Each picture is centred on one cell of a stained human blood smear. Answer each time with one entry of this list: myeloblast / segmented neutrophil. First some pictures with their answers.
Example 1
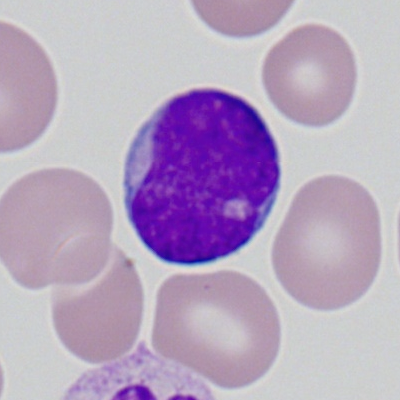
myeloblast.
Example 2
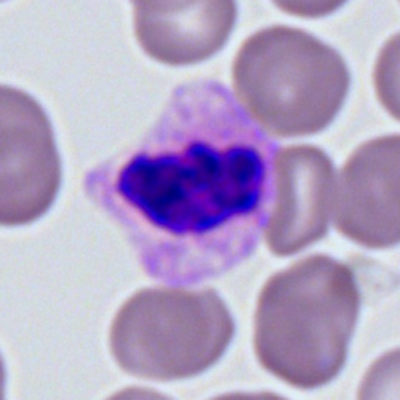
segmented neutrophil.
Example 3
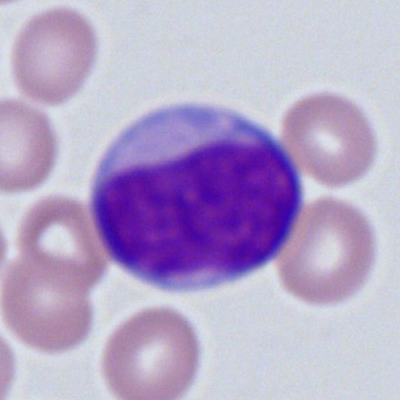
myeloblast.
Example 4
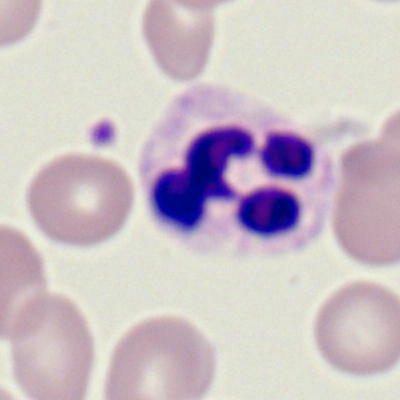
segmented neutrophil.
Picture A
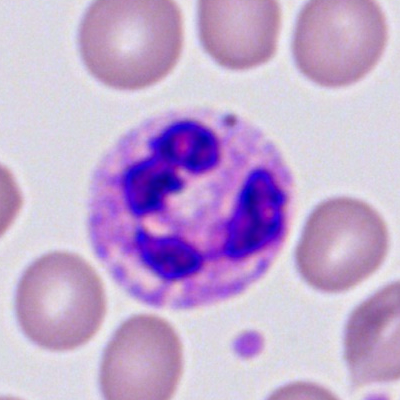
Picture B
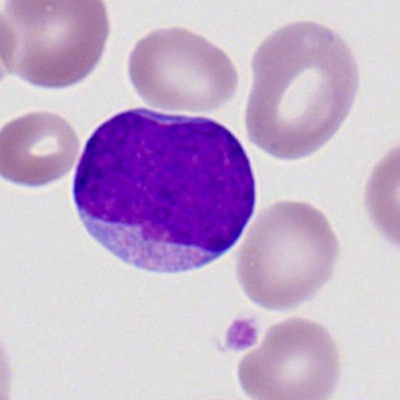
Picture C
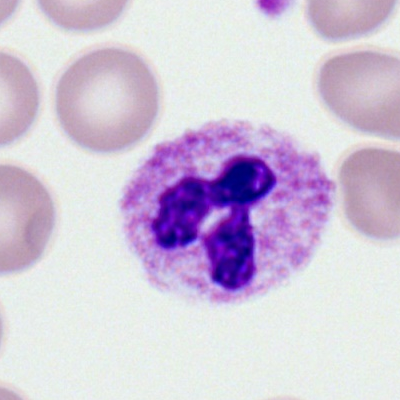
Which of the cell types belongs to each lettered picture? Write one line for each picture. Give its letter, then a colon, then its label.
A: segmented neutrophil.
B: myeloblast.
C: segmented neutrophil.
